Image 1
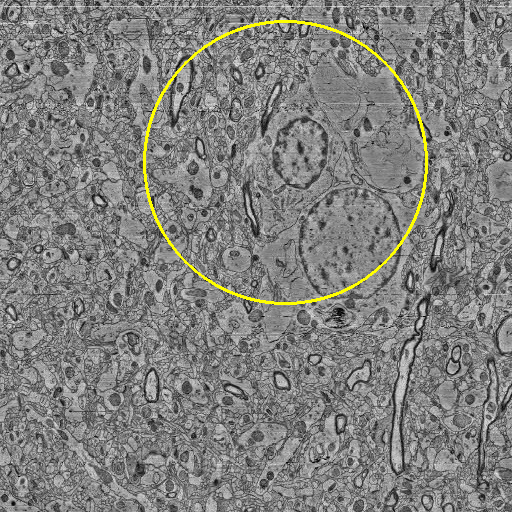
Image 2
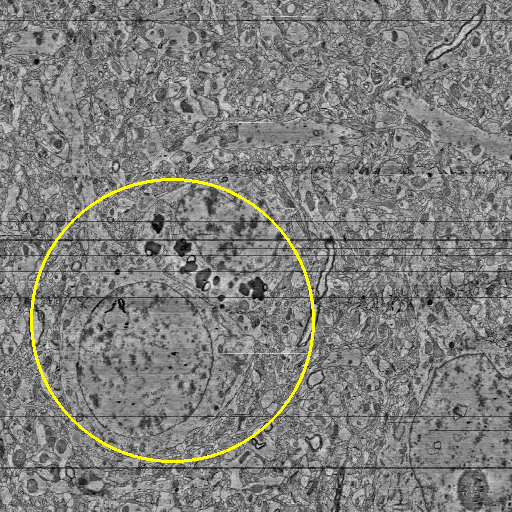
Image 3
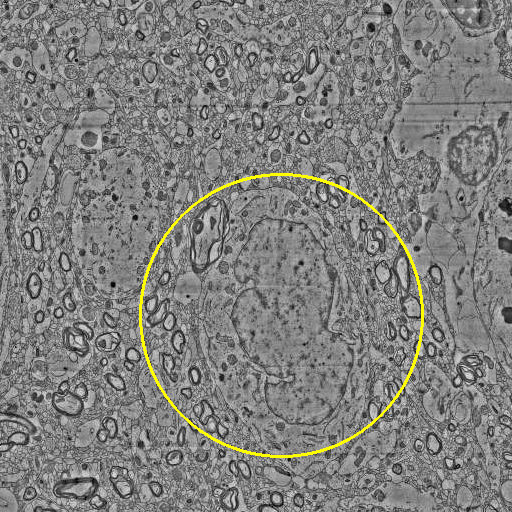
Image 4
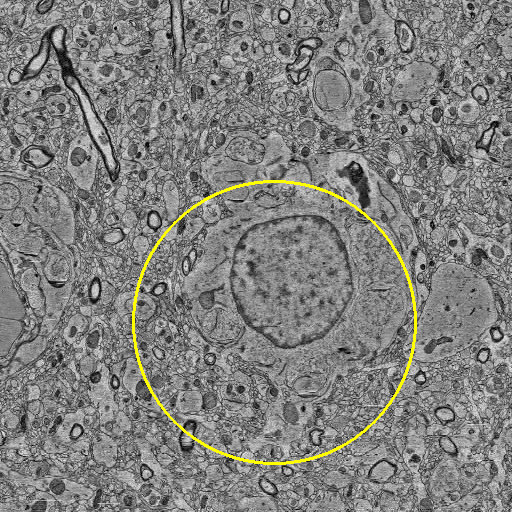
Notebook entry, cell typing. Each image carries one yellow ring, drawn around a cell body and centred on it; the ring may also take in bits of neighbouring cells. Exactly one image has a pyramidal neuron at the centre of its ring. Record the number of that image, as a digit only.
2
